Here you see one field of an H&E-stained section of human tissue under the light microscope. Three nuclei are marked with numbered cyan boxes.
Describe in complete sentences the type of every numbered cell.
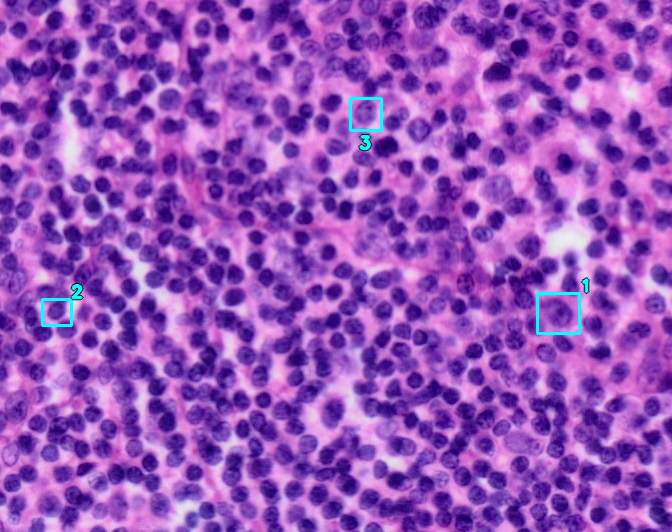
Cells 1 and 3 are proliferating B cells. Cell 2 is a small lymphocyte.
